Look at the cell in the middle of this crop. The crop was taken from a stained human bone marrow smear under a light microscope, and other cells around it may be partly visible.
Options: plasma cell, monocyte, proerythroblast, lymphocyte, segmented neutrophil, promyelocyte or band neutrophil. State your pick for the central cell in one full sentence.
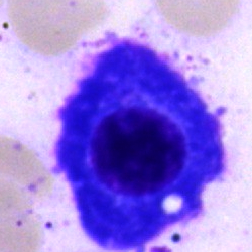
In this crop, the cell at the very middle is a plasma cell.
